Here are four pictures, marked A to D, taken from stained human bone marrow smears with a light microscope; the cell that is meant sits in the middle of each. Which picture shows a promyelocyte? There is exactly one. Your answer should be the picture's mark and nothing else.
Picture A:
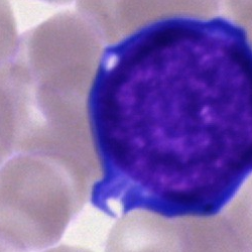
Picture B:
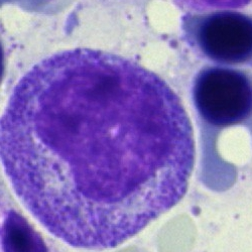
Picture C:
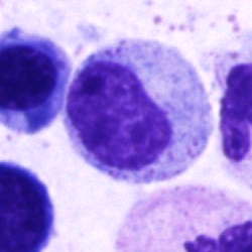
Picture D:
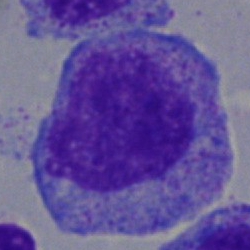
D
